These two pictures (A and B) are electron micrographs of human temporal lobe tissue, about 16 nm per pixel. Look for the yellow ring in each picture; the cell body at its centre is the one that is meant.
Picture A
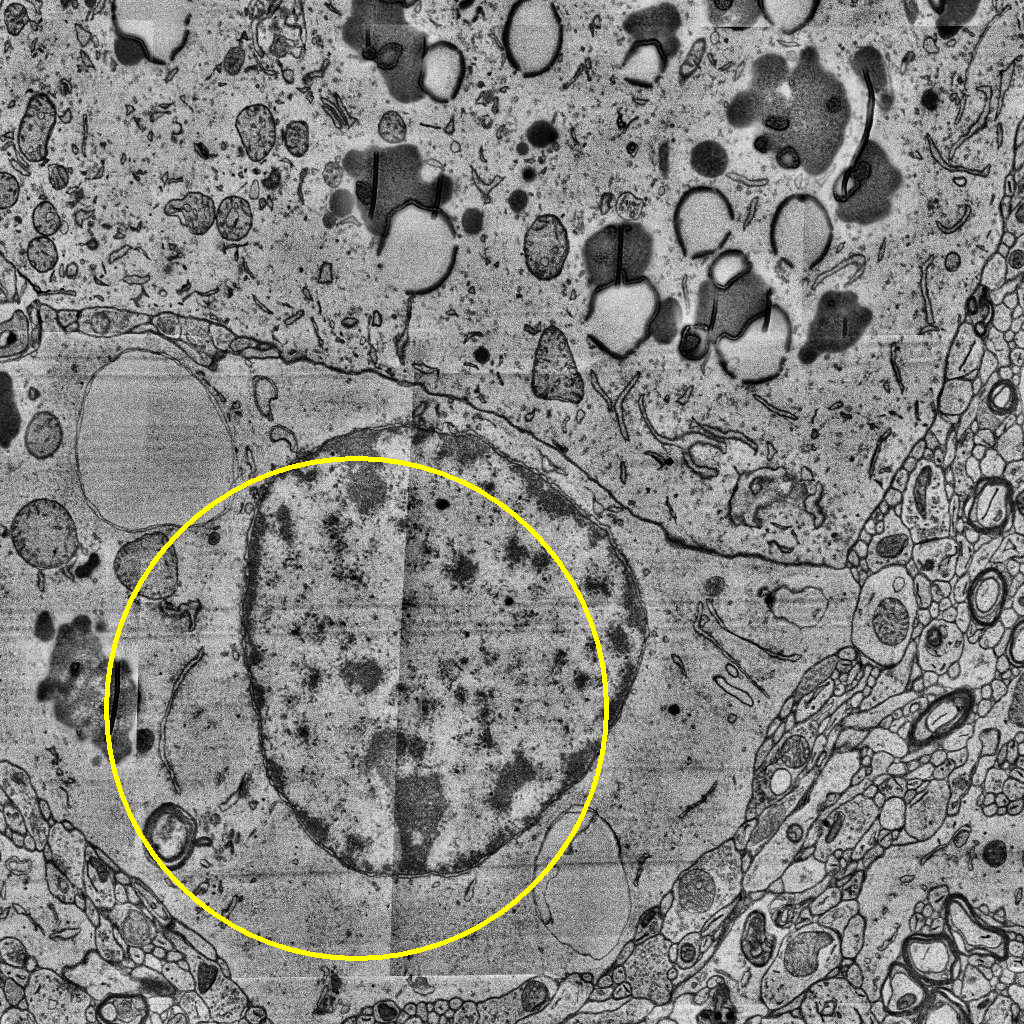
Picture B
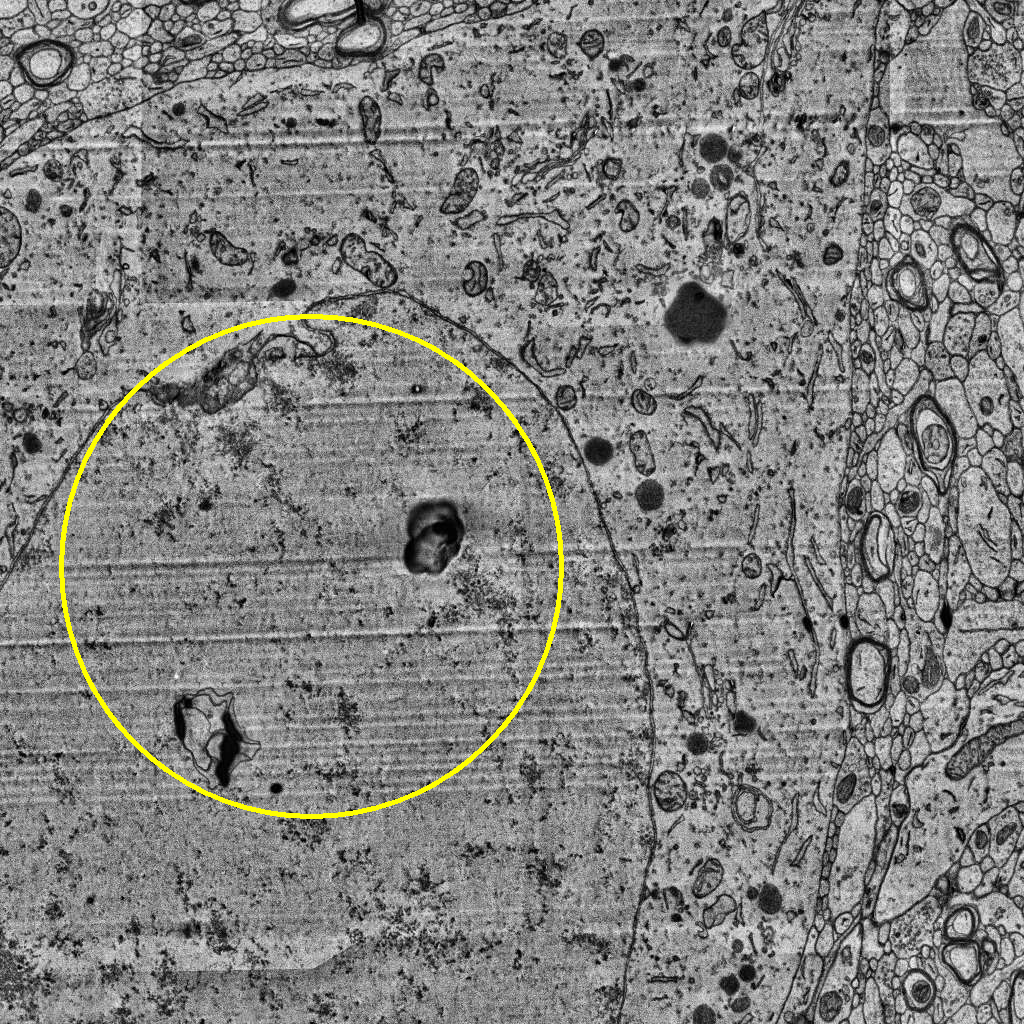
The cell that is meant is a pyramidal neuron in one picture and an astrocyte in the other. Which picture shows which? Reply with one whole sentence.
Picture A shows an astrocyte and picture B shows a pyramidal neuron.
